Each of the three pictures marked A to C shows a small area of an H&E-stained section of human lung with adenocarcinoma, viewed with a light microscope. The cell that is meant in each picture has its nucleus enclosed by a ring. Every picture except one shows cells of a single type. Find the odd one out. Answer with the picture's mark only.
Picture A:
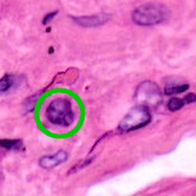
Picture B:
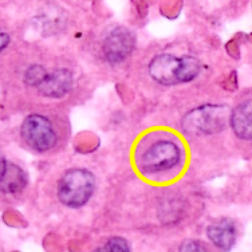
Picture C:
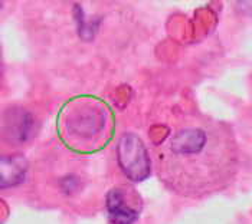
A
